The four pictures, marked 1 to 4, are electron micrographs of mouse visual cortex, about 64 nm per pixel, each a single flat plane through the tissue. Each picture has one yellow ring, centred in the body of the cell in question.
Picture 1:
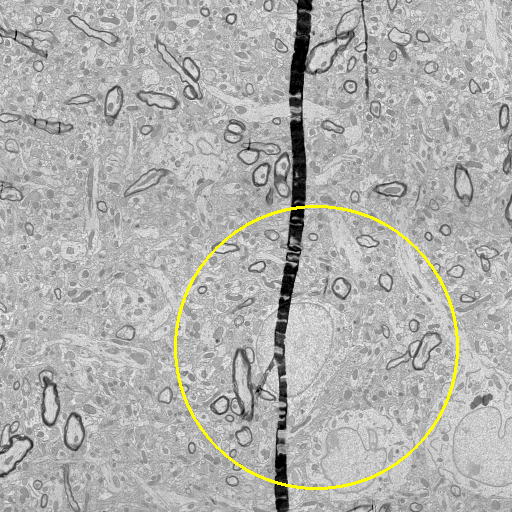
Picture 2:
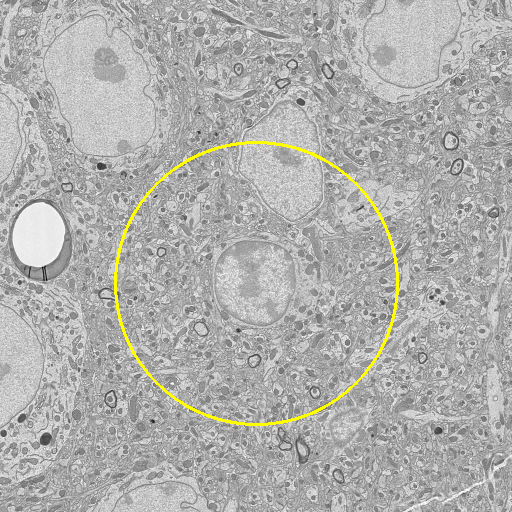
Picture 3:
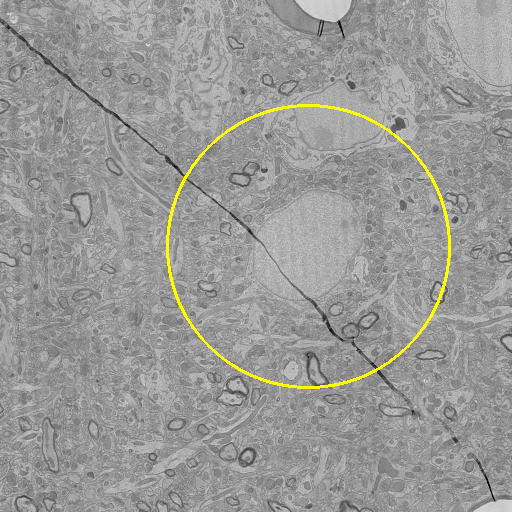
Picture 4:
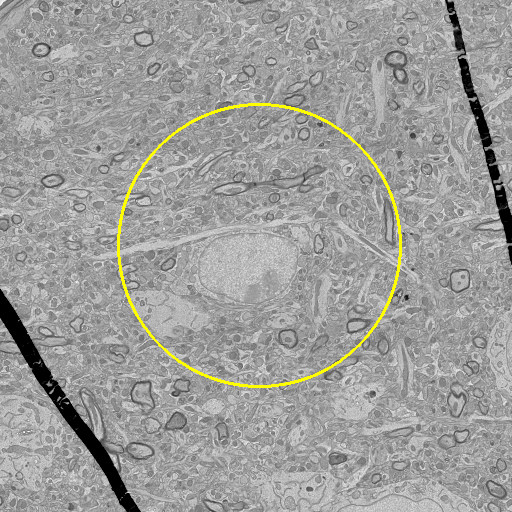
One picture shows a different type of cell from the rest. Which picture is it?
Unlike the rest, which show astrocytes, picture 2 shows an oligodendrocyte.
